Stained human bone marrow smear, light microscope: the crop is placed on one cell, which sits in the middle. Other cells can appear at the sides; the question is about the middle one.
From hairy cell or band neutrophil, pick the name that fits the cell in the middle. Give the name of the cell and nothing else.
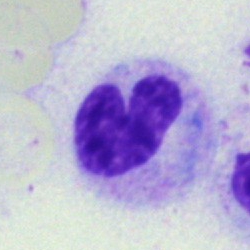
band neutrophil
